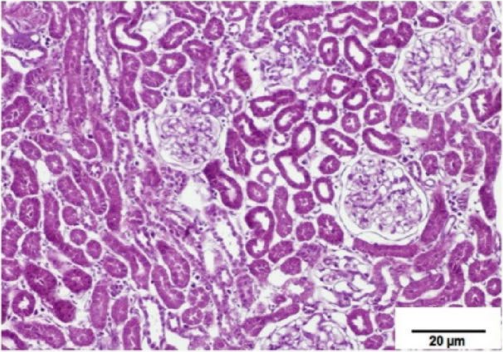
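This is kidney cortex showing glomeruli among closely packed convoluted tubules. The glomeruli are round, lobulated capillary tufts with purple nuclei, surrounded by a clear space within a thin capsule.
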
